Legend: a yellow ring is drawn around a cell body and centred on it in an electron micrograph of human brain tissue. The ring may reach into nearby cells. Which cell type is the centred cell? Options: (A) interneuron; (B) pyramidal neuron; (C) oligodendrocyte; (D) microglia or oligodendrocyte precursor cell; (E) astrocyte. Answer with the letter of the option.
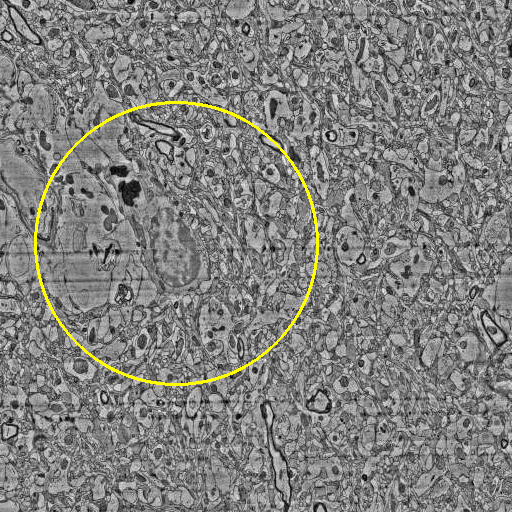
C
